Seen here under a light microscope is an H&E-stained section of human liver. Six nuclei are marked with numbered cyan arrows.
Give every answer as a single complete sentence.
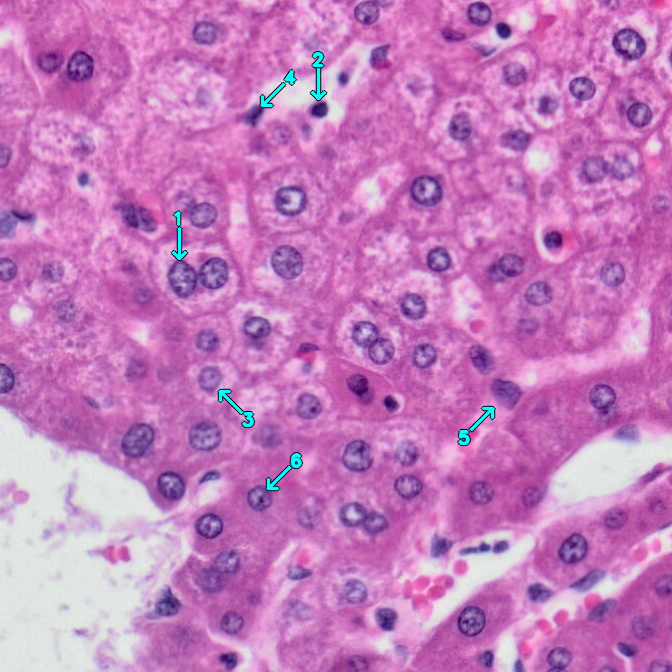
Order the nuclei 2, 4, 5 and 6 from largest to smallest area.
Going from the biggest nucleus down to the smallest gives 5, 6, 4, 2.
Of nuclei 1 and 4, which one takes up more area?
Of the two, number 1 is bigger and takes up about 2.5 times the area of number 4.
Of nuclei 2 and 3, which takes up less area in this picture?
Nucleus 2 covers less area, with nucleus 3 about 2 times as large.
